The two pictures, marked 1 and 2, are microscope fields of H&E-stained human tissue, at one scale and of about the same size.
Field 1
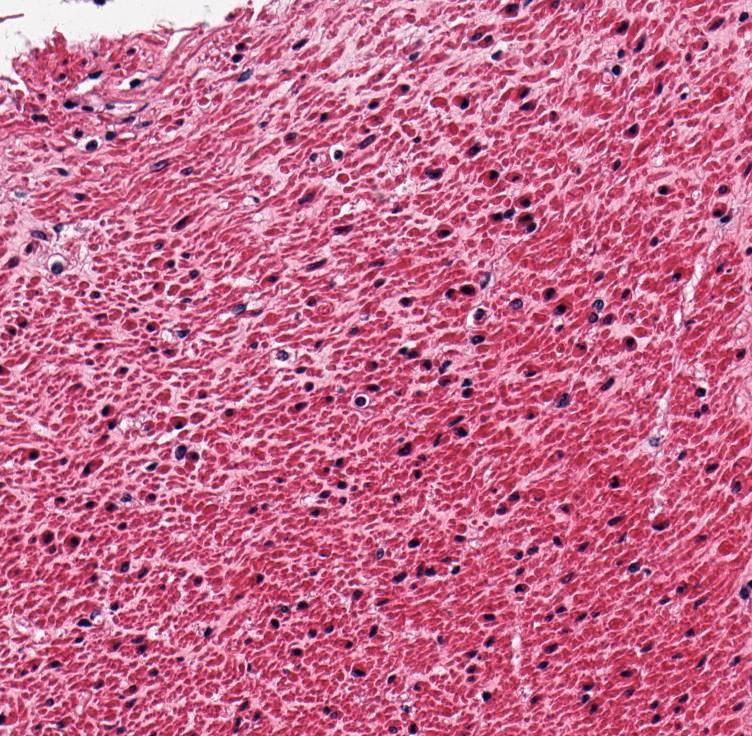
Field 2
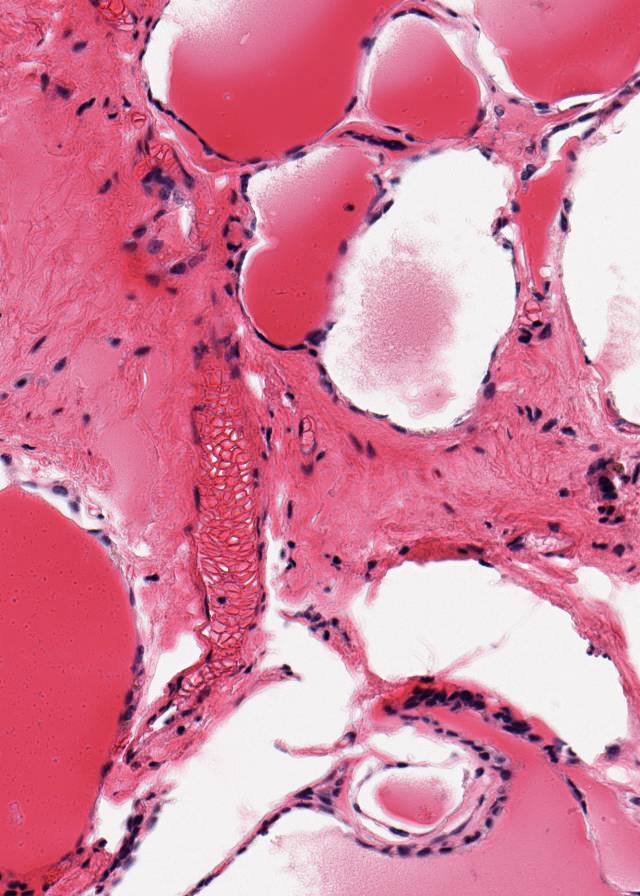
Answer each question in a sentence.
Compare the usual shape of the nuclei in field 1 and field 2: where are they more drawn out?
On the whole the nuclei of field 2 are more drawn out than those of field 1.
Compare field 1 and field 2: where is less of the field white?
It is field 1 that stained tissue fills more completely.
